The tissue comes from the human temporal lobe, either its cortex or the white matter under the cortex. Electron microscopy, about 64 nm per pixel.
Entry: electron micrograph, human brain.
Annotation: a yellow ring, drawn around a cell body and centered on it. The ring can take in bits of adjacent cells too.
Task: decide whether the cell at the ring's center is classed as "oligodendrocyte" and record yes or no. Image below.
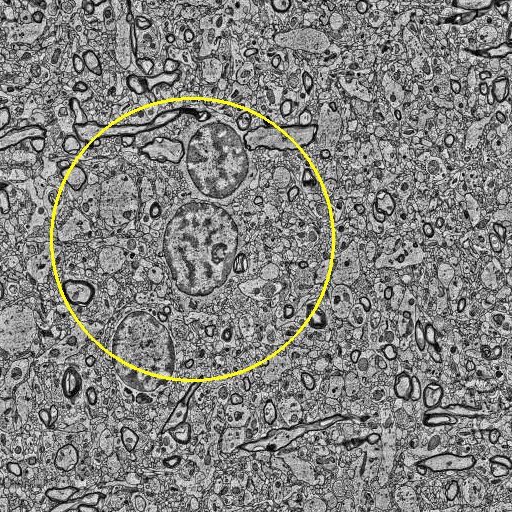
yes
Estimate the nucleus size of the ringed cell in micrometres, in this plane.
Approximately 6 x 5 micrometres in this plane.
